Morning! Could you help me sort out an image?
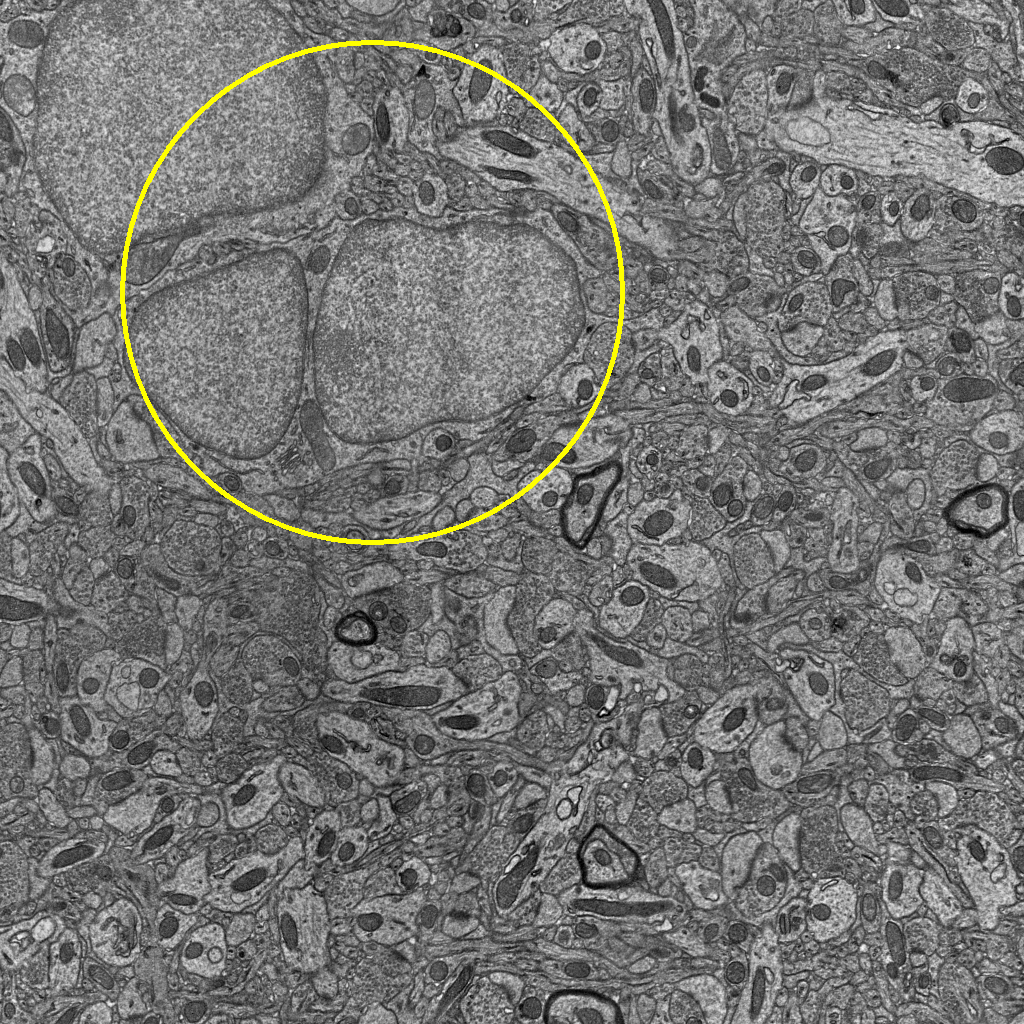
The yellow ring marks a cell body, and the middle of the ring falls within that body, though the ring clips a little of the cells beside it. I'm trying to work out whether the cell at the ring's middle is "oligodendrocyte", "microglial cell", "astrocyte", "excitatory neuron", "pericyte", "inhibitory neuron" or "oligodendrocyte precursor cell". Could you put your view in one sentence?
The cell body at the ring's middle is that of an astrocyte.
